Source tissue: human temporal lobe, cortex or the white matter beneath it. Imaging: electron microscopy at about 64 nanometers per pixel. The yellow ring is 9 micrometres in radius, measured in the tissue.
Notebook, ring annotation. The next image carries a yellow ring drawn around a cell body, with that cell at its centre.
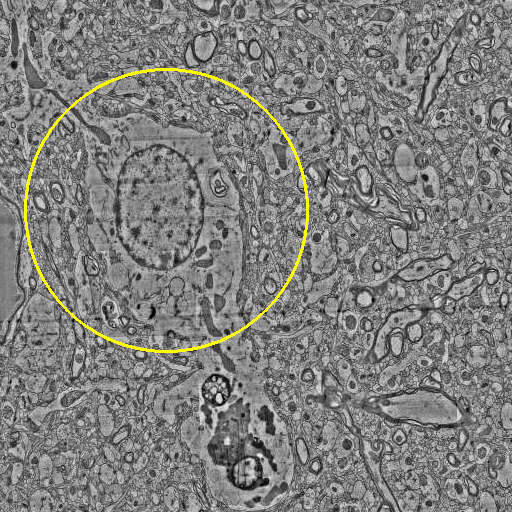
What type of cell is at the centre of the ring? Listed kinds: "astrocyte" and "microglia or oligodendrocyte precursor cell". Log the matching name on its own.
astrocyte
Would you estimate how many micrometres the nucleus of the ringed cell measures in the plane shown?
Approximately 8 by 6 micrometers in this plane.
